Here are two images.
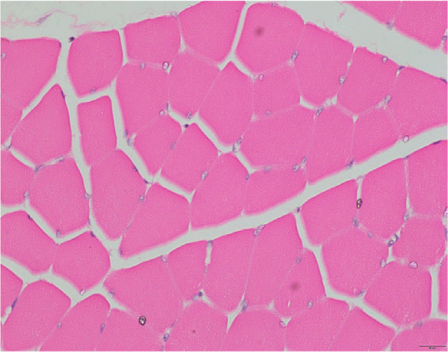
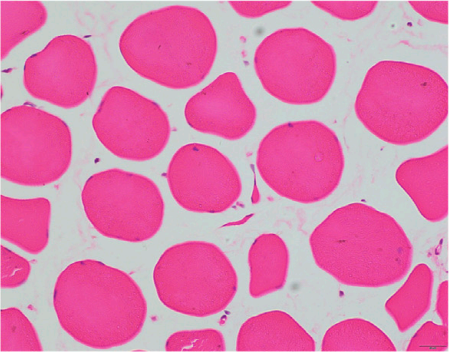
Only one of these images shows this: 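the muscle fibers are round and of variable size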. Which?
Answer: the second image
